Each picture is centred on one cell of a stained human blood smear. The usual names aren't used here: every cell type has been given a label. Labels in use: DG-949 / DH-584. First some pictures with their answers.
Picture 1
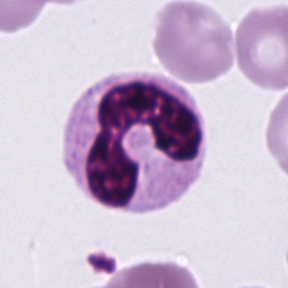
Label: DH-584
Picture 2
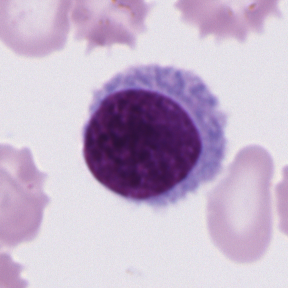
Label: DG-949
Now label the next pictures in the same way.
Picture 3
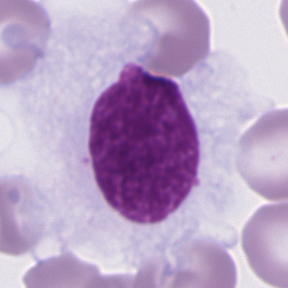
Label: DG-949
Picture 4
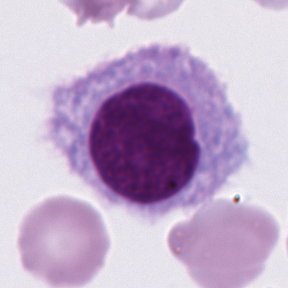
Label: DG-949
